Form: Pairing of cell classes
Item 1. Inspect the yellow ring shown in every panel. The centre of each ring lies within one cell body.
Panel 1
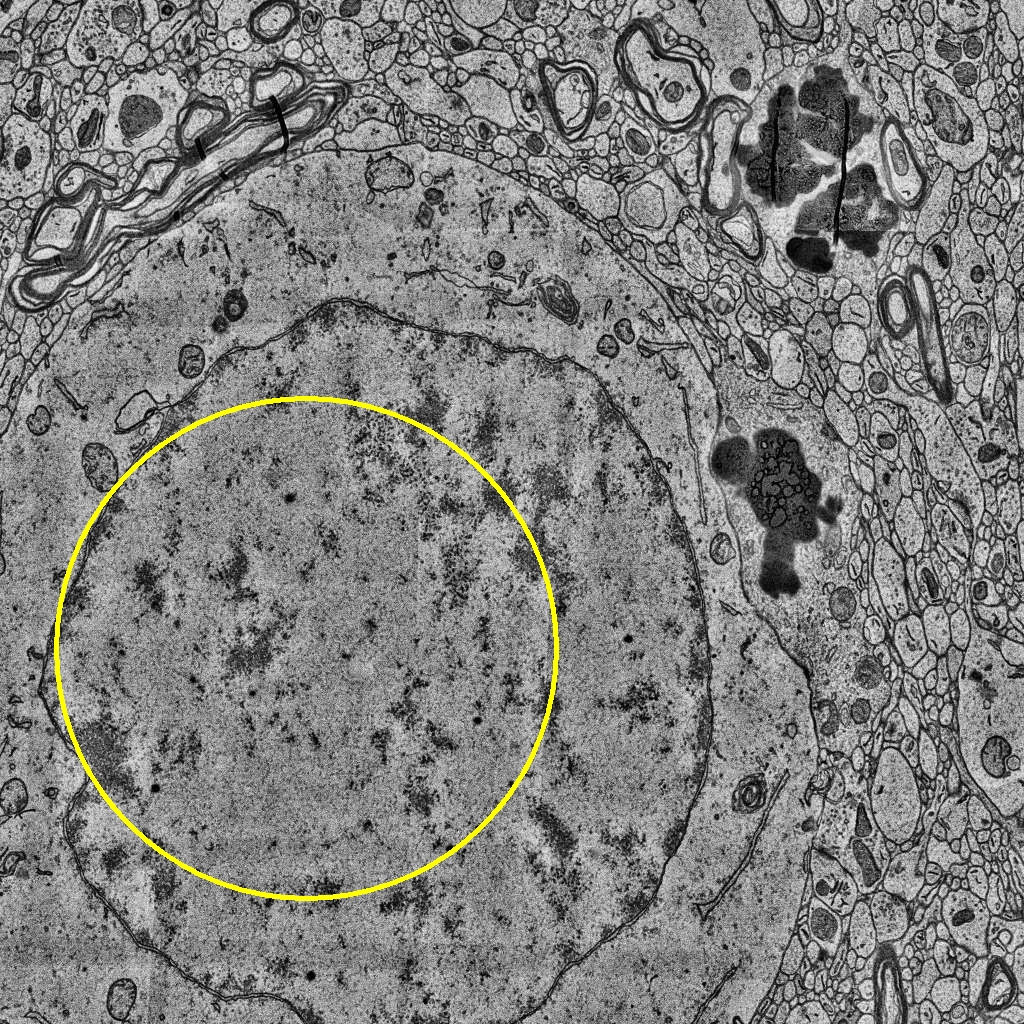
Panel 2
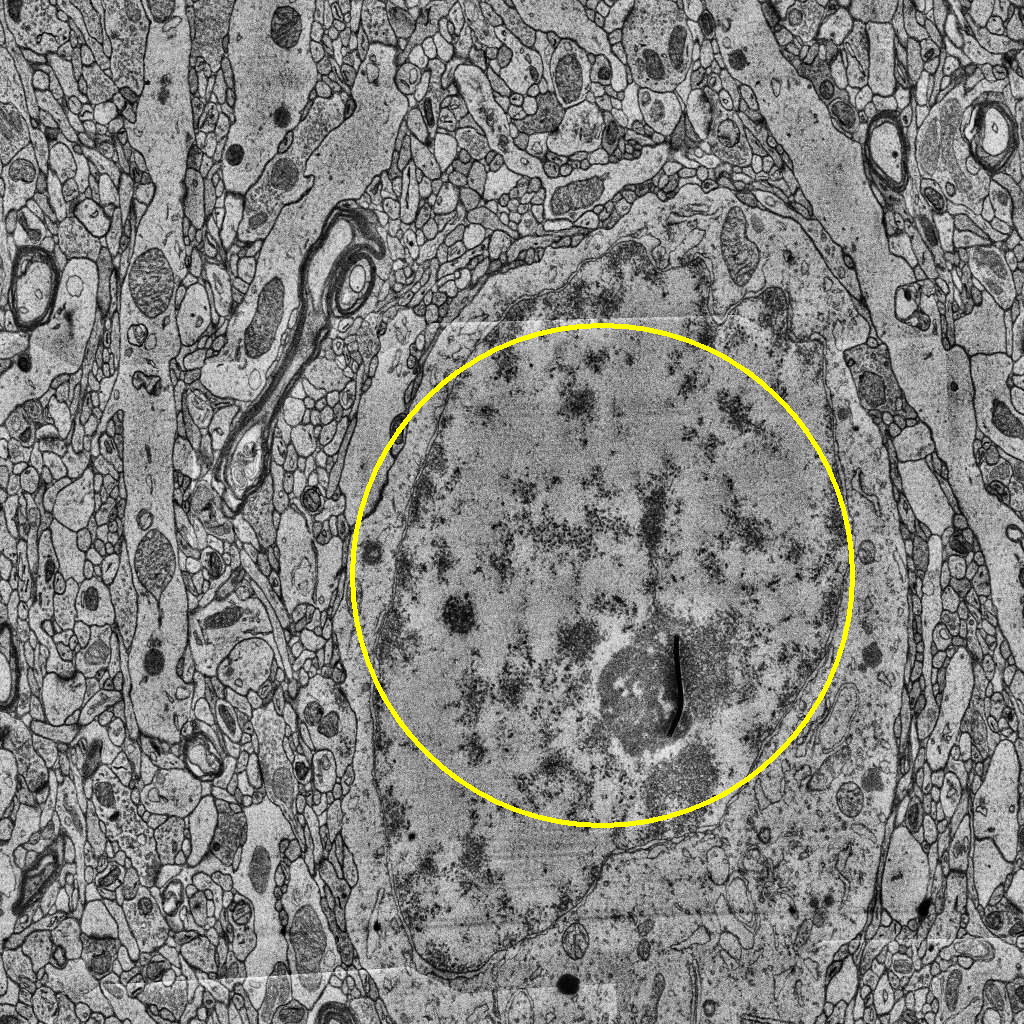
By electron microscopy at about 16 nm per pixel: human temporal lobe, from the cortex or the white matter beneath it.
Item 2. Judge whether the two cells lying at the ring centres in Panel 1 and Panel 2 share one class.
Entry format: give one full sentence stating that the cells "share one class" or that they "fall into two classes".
The cells at the ring centres in Panel 1 and Panel 2 share one class.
